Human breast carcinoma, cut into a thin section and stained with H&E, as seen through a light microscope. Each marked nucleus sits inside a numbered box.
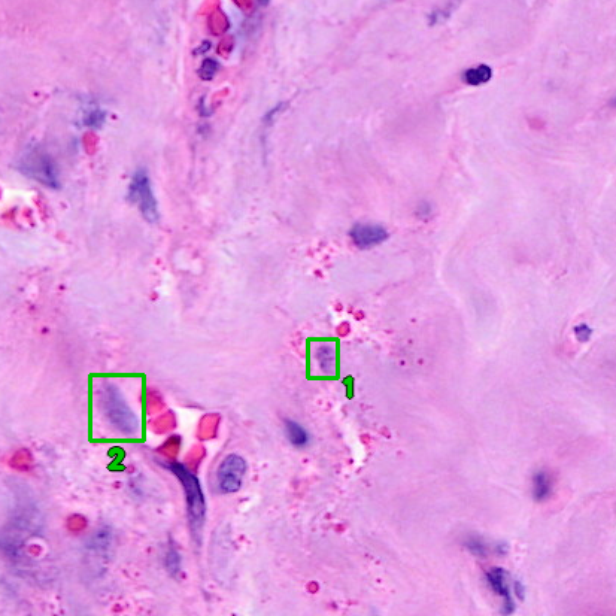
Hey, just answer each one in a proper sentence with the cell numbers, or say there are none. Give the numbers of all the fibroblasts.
Cell 1 is a fibroblast and is the only numbered cell of that kind.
